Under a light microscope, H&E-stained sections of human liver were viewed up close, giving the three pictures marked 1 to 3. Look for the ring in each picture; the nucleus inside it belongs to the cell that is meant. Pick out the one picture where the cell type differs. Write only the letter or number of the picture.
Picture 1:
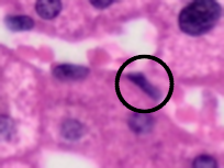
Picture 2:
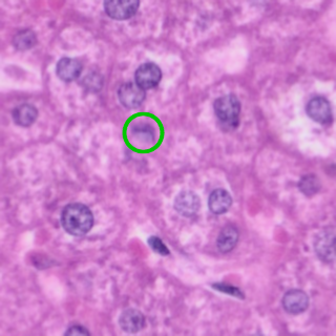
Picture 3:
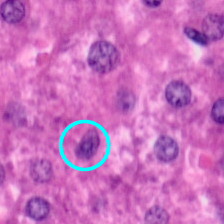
1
